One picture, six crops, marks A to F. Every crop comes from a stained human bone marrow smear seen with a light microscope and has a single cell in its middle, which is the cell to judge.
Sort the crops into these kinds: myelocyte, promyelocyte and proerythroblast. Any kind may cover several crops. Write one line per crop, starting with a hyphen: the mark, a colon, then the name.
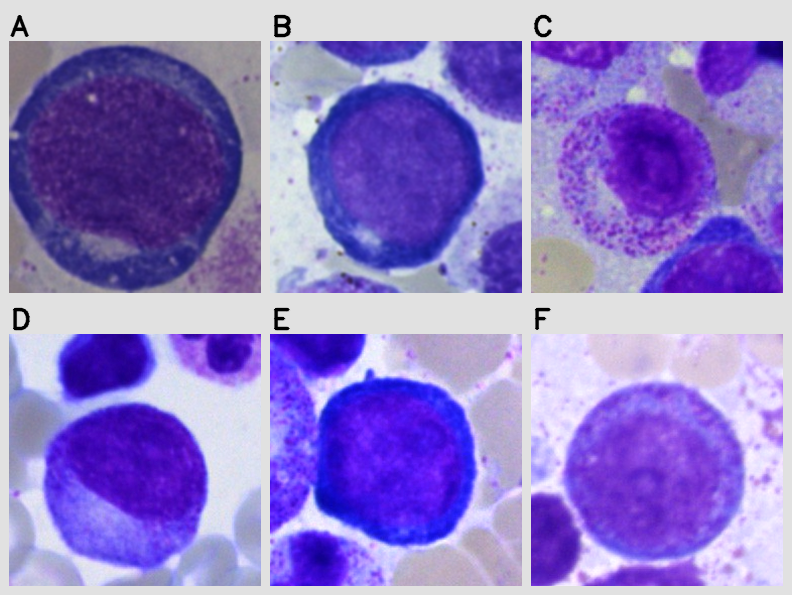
- A: proerythroblast
- B: proerythroblast
- C: myelocyte
- D: promyelocyte
- E: proerythroblast
- F: promyelocyte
